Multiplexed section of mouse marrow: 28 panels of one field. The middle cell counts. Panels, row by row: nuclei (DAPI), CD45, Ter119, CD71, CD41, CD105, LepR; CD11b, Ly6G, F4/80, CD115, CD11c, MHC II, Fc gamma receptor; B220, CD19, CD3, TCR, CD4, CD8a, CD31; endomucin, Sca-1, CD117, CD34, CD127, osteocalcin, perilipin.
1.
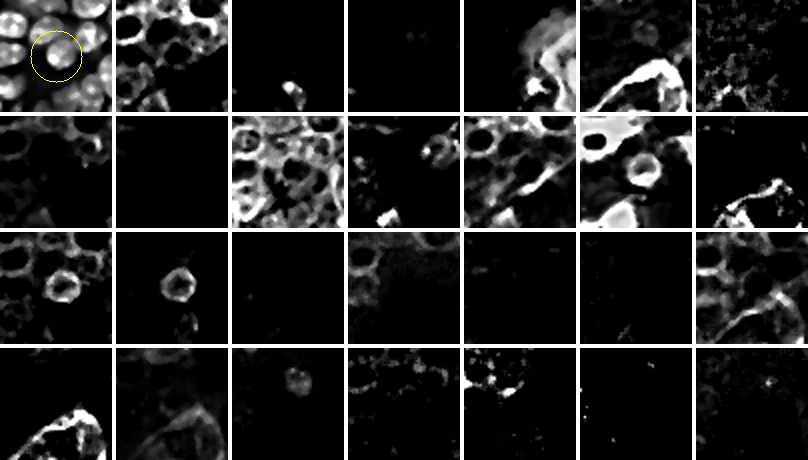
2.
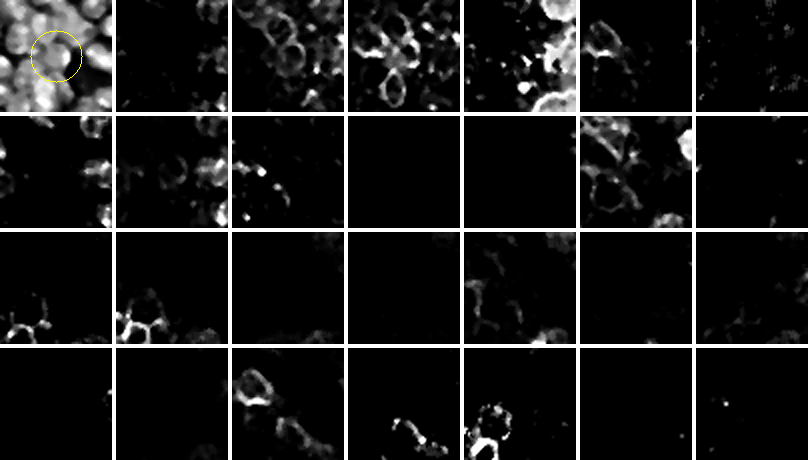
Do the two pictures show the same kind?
No: a B cell, then an erythroblast.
